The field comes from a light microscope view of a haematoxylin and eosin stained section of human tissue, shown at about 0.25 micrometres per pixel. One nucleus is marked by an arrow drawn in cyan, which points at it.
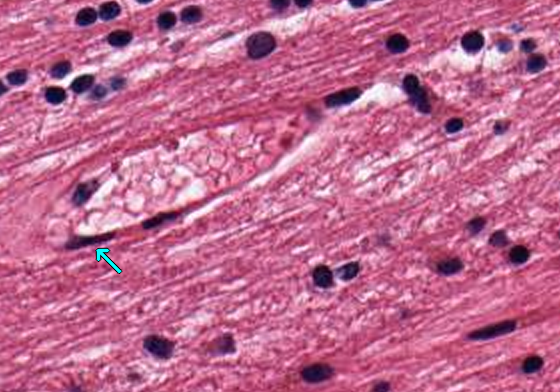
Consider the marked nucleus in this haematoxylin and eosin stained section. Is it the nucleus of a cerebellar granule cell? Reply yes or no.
no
